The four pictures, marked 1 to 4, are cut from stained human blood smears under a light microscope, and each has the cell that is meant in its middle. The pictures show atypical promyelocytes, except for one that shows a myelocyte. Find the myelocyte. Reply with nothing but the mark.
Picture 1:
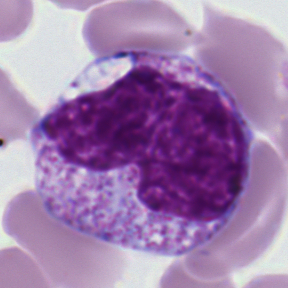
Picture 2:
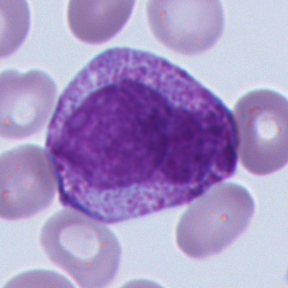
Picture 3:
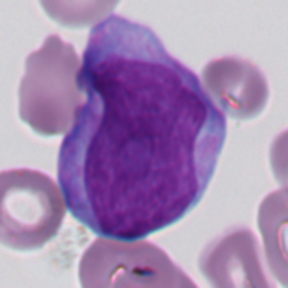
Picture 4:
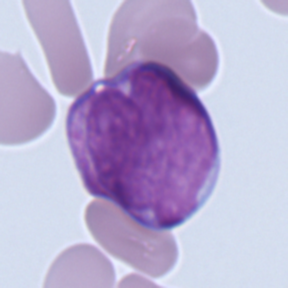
1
